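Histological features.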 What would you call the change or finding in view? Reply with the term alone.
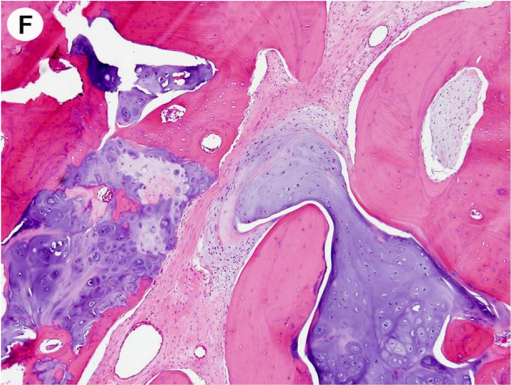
Benign cartilaginous differentiation.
